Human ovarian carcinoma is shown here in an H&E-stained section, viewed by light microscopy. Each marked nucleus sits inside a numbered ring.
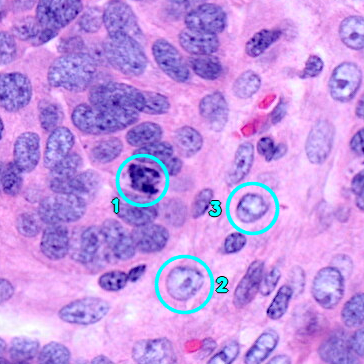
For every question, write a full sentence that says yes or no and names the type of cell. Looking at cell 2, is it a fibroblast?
Yes, cell 2 is a fibroblast in this tissue section.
